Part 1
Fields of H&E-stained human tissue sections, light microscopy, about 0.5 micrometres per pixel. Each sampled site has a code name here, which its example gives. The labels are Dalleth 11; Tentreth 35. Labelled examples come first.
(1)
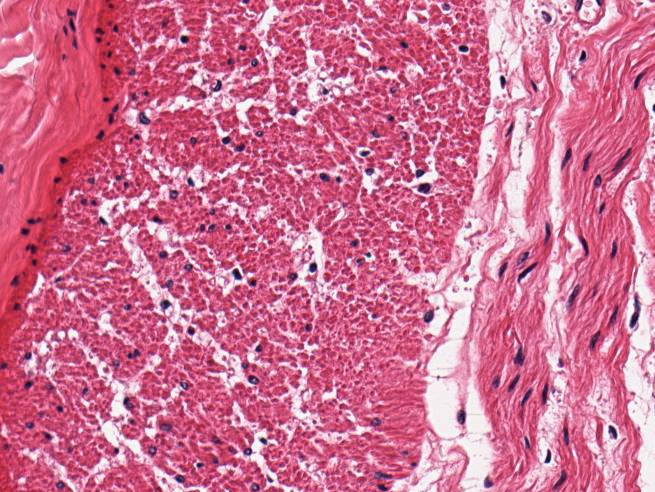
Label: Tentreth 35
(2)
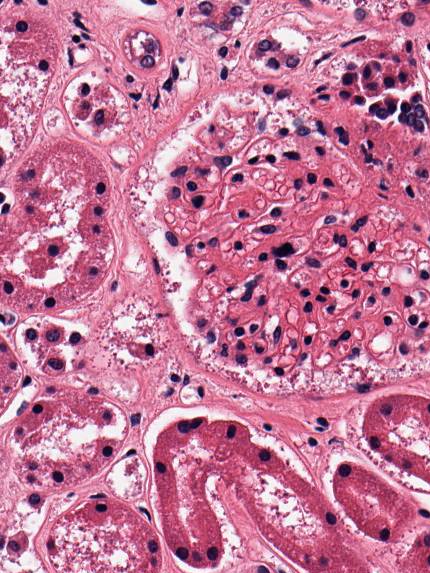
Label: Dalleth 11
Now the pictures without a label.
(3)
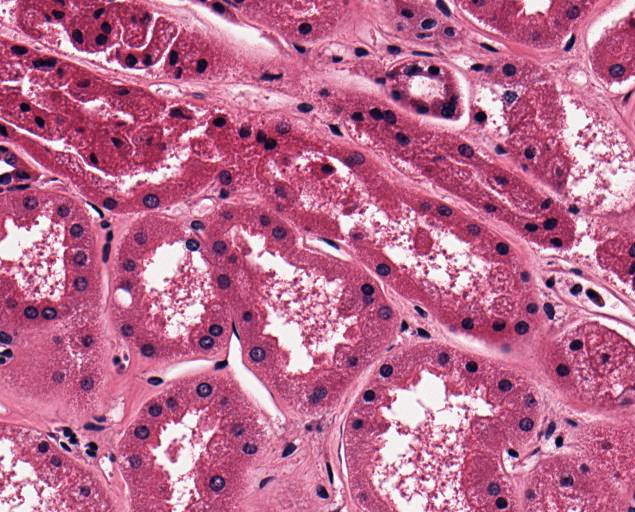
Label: Dalleth 11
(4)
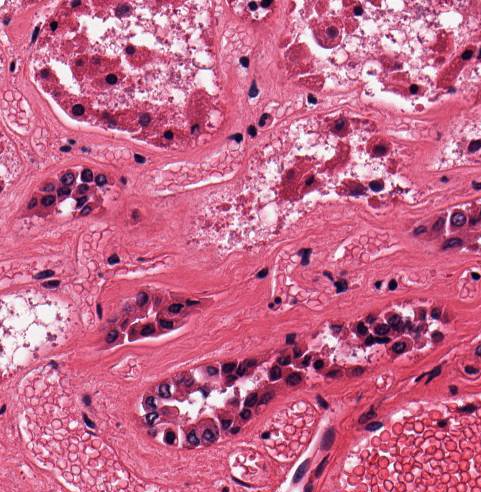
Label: Dalleth 11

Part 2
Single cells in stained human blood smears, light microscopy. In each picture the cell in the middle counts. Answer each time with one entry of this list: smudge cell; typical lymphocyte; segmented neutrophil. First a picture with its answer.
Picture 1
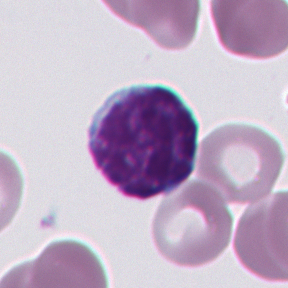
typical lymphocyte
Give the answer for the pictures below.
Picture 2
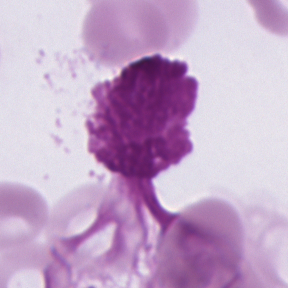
smudge cell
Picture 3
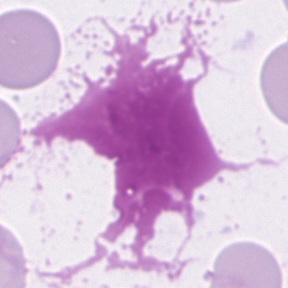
smudge cell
